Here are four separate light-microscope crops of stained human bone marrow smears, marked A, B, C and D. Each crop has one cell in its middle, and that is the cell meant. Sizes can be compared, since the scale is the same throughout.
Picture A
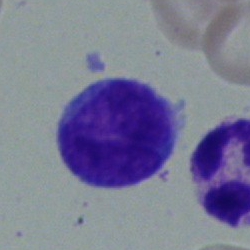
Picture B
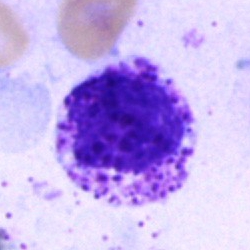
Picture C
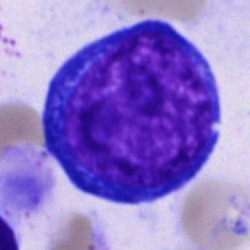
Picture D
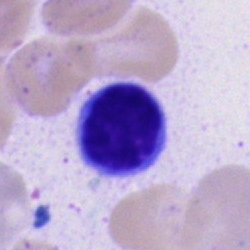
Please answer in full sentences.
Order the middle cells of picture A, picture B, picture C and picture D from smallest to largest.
The order is D, A, B, C, beginning with the smallest.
